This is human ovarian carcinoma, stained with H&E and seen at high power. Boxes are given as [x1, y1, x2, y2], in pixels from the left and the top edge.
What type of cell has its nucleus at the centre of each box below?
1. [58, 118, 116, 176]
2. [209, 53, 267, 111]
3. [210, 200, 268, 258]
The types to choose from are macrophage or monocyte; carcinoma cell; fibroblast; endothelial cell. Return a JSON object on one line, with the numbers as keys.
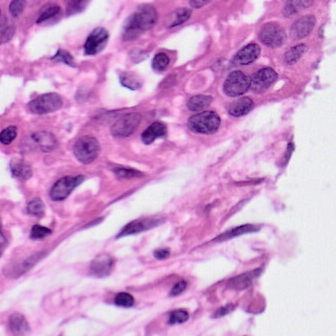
{"1": "carcinoma cell", "2": "carcinoma cell", "3": "fibroblast"}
